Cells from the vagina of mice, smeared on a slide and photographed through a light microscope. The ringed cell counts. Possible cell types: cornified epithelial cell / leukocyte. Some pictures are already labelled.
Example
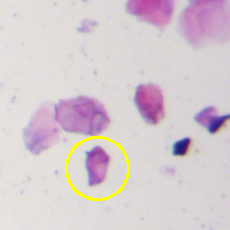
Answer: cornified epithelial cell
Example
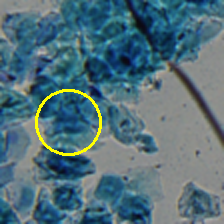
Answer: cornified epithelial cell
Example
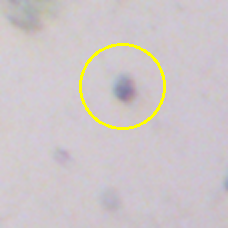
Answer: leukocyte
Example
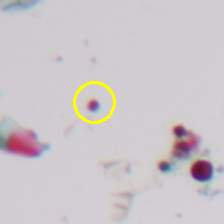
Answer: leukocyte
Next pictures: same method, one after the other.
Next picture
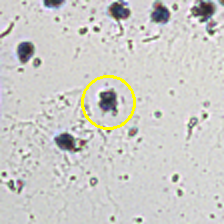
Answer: leukocyte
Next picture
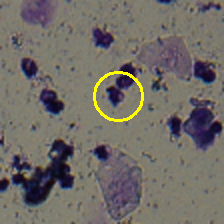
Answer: leukocyte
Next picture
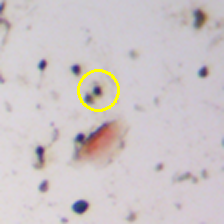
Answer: leukocyte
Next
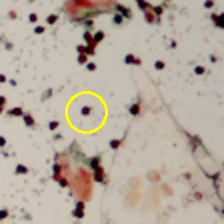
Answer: leukocyte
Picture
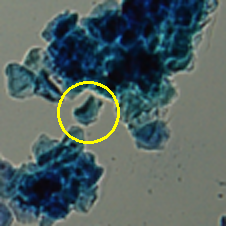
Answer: cornified epithelial cell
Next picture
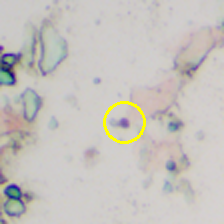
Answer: leukocyte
